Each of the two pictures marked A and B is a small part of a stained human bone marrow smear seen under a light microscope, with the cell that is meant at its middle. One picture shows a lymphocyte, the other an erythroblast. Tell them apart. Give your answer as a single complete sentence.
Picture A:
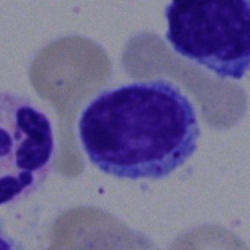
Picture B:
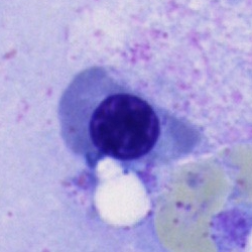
The cell in picture A is a lymphocyte, and the one in picture B is an erythroblast.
